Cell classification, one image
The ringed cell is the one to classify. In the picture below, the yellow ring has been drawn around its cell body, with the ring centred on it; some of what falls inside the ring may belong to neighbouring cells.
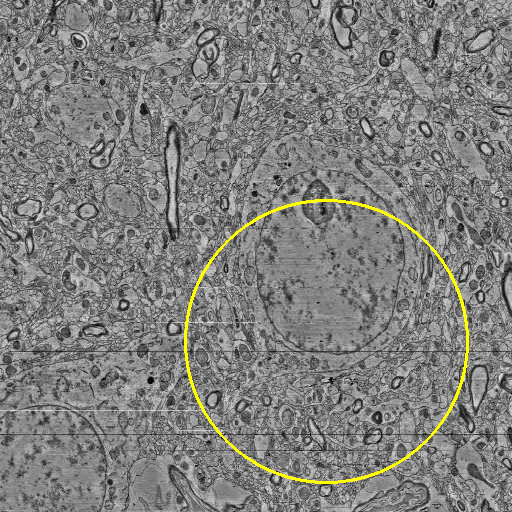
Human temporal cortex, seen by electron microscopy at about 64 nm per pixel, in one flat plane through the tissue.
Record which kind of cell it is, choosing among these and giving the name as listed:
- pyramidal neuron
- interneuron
pyramidal neuron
